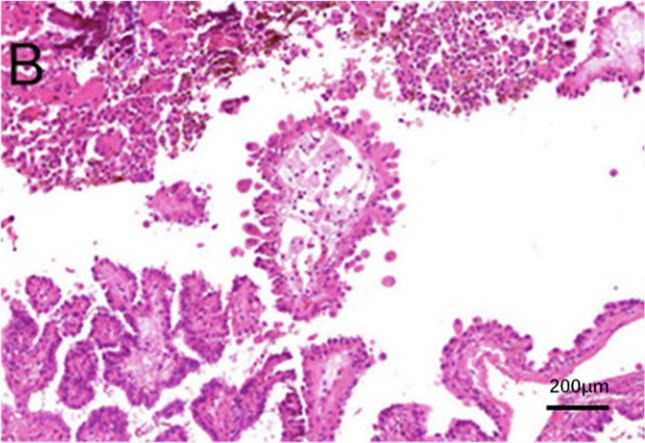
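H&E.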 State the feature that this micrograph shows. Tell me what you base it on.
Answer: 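Small papillary projections lined by epithelial cells float in a space. Cells bulge outward from the surface of the papillae. On this evidence: micropapillary fragment.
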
